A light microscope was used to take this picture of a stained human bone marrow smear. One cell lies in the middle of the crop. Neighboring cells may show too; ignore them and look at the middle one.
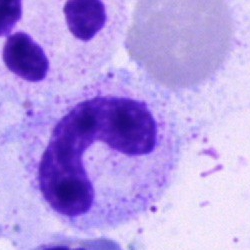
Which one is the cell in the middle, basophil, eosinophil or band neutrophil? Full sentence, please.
The cell found in the middle of this crop is a band neutrophil.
